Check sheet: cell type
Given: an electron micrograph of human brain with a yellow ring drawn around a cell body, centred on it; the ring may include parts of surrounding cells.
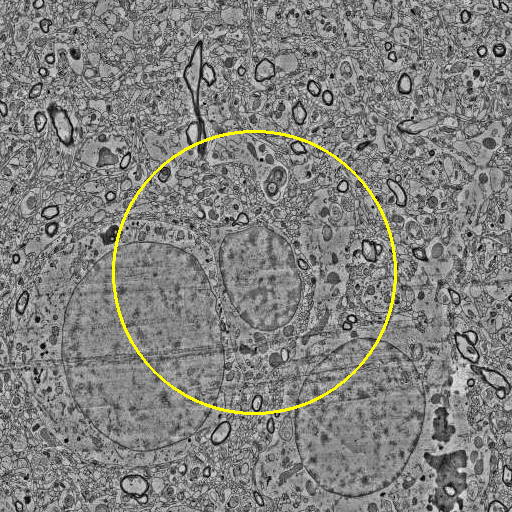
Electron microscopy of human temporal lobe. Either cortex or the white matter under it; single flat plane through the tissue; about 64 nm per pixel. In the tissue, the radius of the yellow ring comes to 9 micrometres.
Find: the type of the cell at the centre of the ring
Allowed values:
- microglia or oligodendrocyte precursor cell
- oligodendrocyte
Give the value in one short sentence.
Here the ringed cell is an oligodendrocyte.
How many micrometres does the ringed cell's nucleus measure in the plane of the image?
In this plane the nucleus spans approximately 7 by 5 micrometers.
